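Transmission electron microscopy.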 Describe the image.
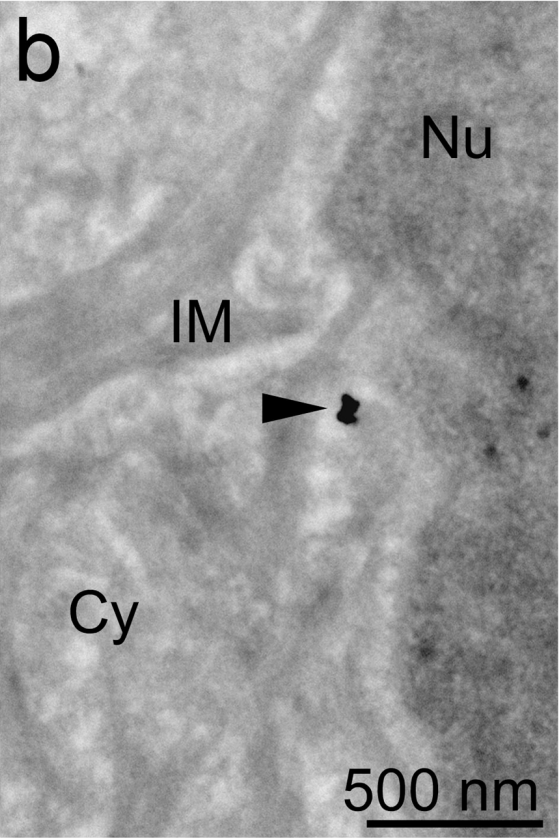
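This is a higher-magnification electron micrograph of cytoplasm lying next to the nucleus. The nucleus forms the darker, finely granular region on the right. A single compact, irregular clump of very dense black particles sits in the cytoplasm close to these membranes.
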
